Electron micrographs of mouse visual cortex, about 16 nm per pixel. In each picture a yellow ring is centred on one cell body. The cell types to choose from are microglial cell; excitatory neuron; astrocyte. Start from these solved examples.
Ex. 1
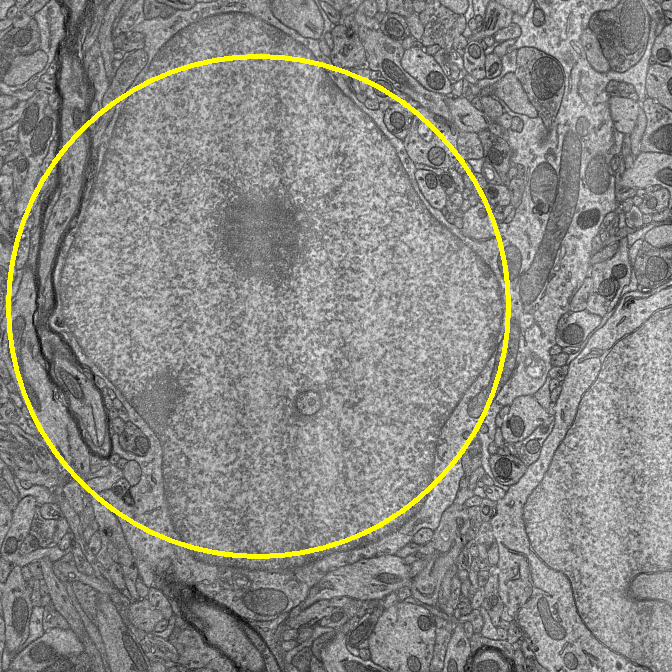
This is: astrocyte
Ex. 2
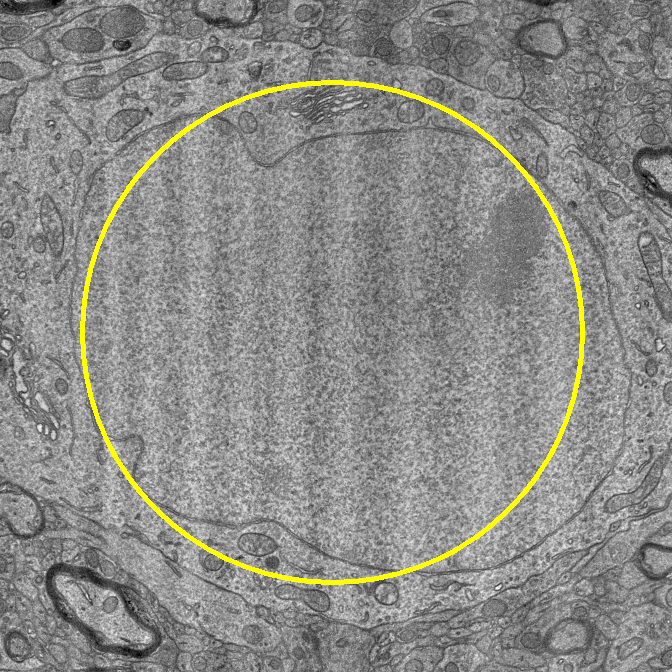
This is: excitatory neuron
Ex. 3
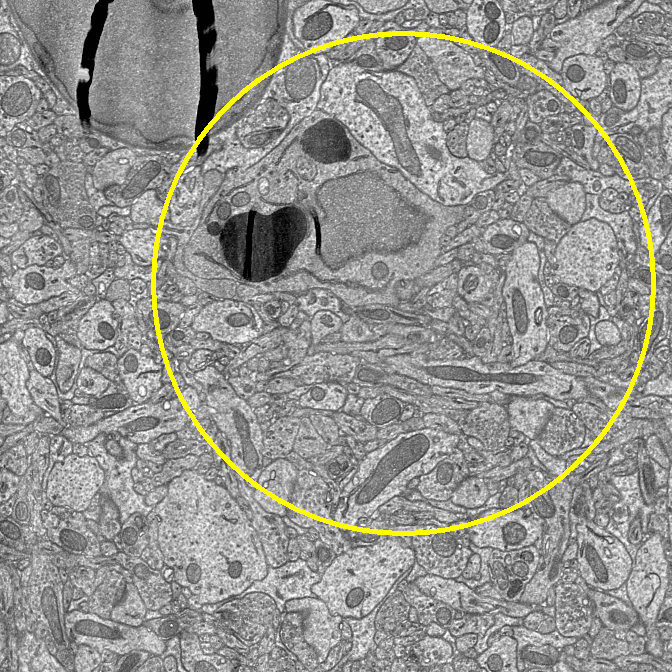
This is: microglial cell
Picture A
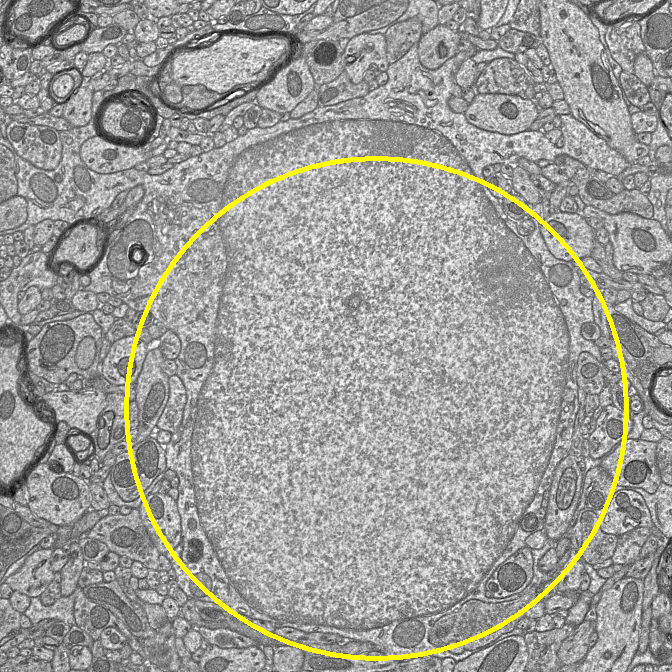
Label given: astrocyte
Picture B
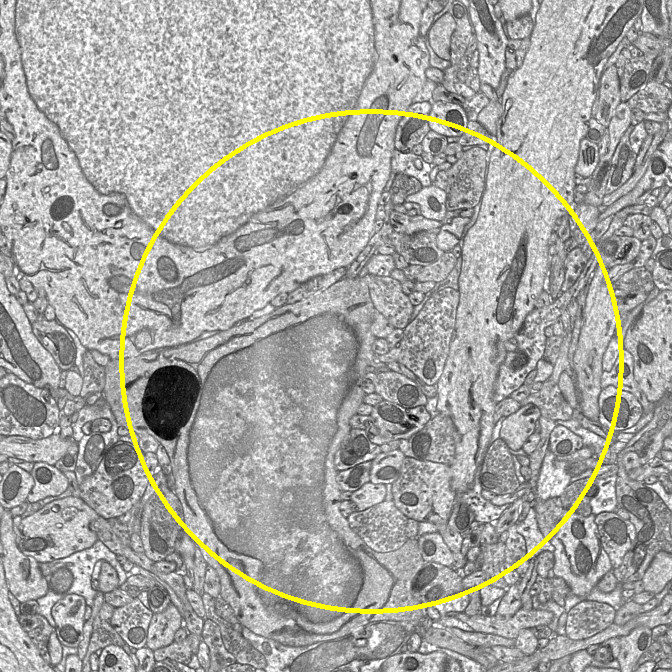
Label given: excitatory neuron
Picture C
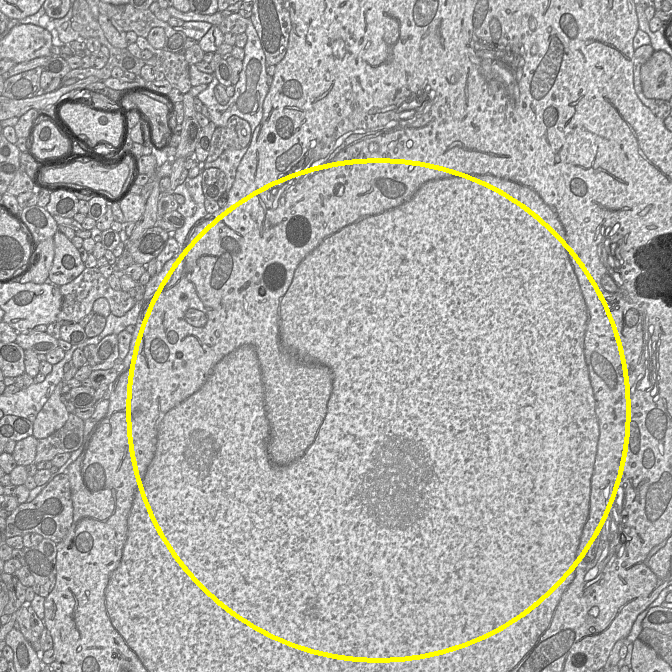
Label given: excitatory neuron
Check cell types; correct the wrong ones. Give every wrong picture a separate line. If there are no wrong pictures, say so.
B is labelled excitatory neuron; correct label: microglial cell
